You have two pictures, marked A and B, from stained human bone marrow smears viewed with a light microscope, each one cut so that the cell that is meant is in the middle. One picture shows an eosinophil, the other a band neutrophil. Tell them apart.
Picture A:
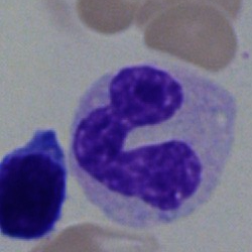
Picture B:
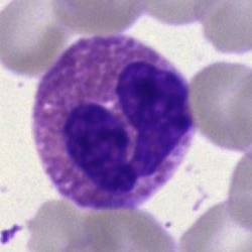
A: band neutrophil
B: eosinophil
